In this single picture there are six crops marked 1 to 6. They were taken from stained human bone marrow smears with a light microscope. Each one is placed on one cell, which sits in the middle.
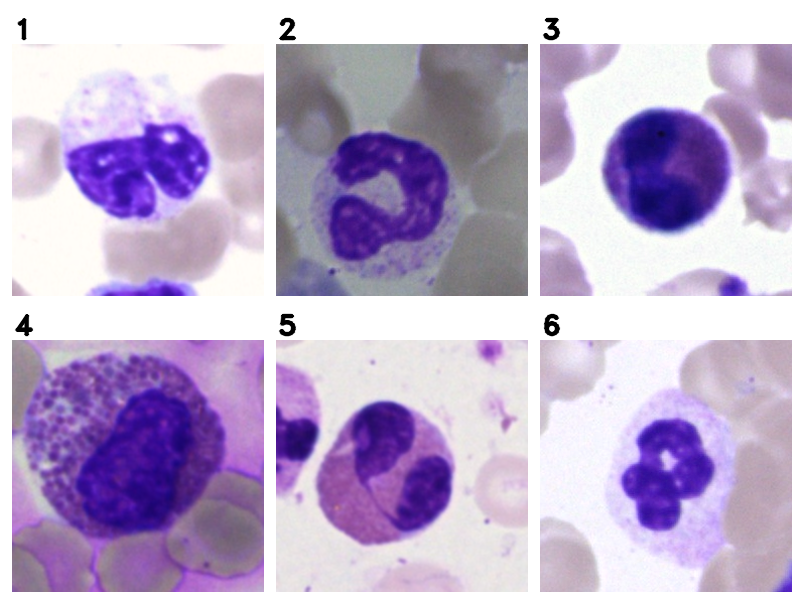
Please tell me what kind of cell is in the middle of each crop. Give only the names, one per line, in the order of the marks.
neutrophil
neutrophil
eosinophil
eosinophil
eosinophil
neutrophil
